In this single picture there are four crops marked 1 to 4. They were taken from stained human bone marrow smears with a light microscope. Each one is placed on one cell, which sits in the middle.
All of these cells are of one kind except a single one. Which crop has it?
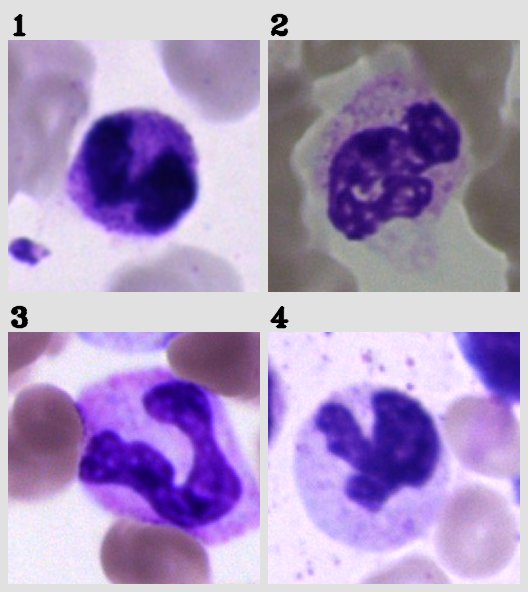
3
